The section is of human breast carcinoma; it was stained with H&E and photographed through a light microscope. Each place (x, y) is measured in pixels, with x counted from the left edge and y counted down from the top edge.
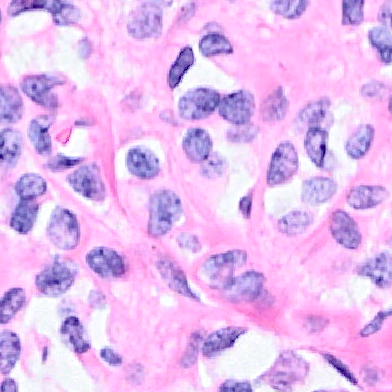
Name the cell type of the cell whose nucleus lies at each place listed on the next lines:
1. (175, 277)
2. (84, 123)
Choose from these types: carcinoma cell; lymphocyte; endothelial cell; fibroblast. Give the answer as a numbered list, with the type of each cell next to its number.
1. fibroblast
2. endothelial cell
